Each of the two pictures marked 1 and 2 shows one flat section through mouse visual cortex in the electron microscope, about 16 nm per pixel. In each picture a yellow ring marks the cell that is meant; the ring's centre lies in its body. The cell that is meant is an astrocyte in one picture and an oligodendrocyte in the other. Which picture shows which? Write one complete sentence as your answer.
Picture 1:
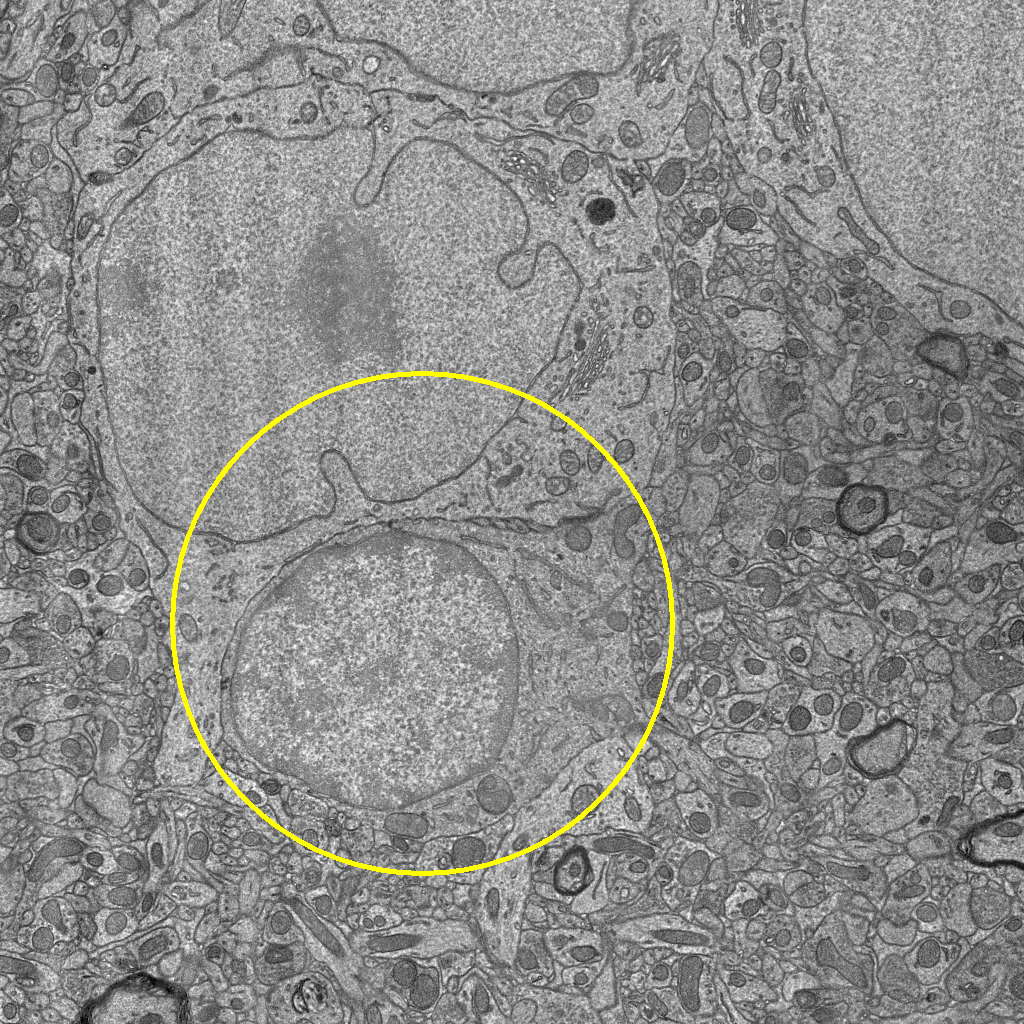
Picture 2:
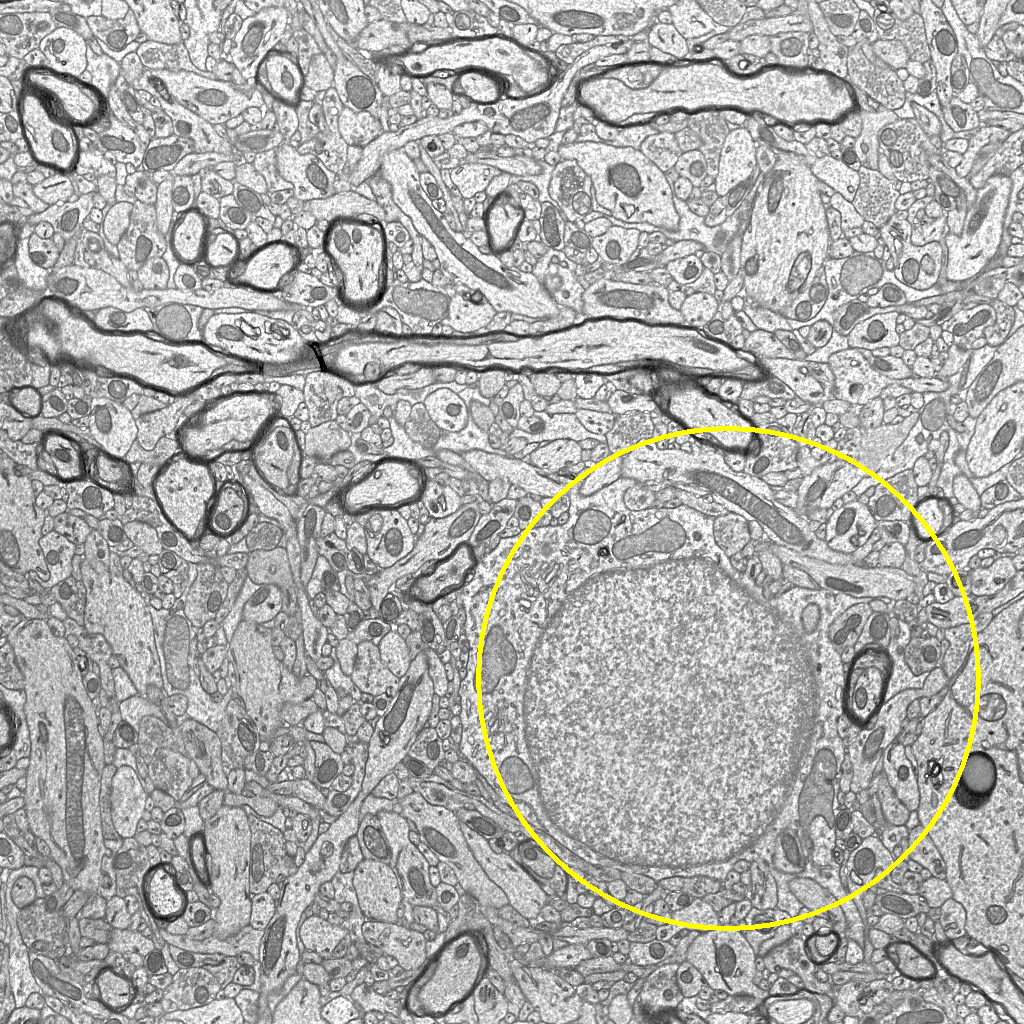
In picture 1 the cell is an oligodendrocyte; in picture 2, an astrocyte.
